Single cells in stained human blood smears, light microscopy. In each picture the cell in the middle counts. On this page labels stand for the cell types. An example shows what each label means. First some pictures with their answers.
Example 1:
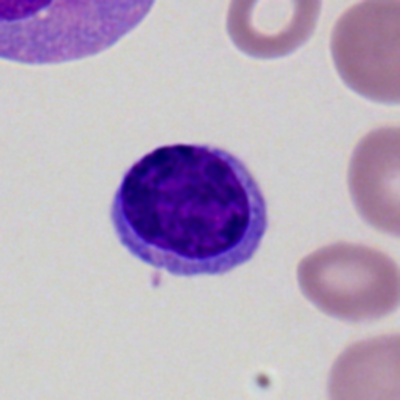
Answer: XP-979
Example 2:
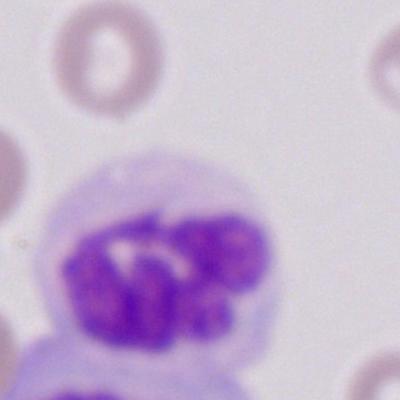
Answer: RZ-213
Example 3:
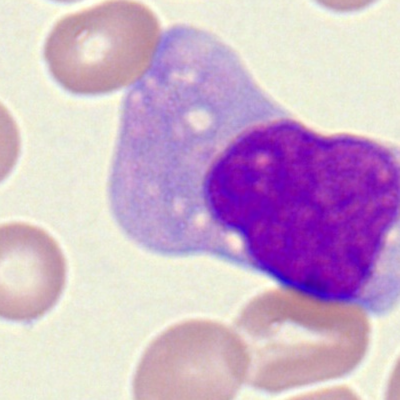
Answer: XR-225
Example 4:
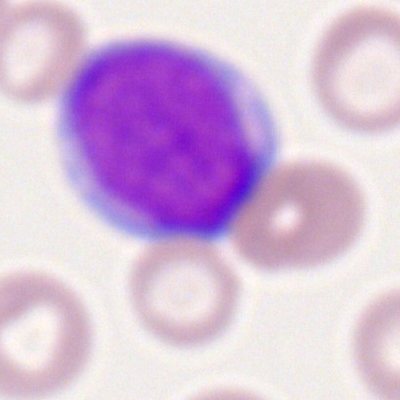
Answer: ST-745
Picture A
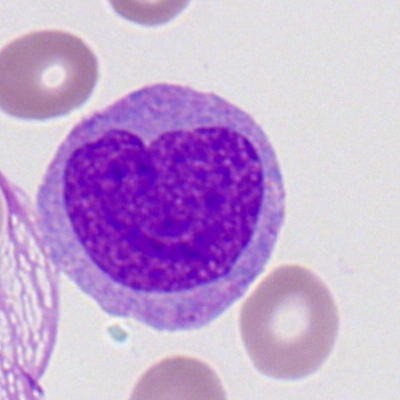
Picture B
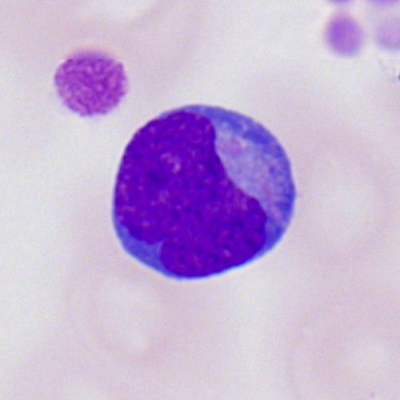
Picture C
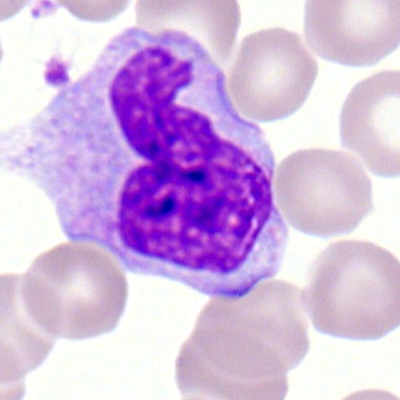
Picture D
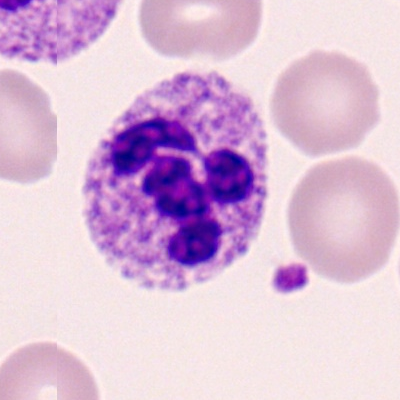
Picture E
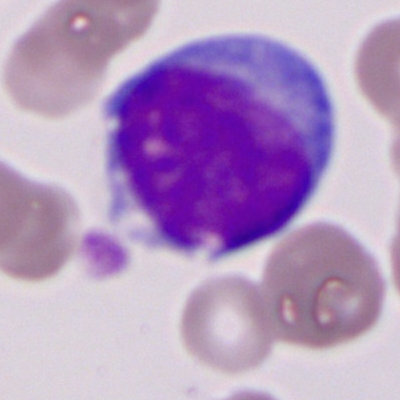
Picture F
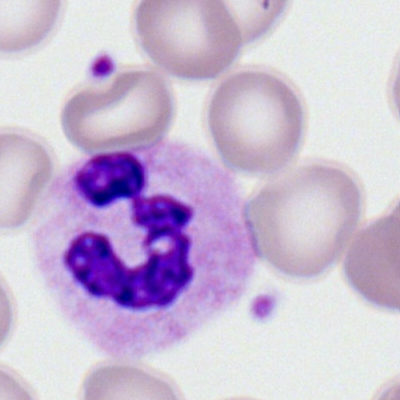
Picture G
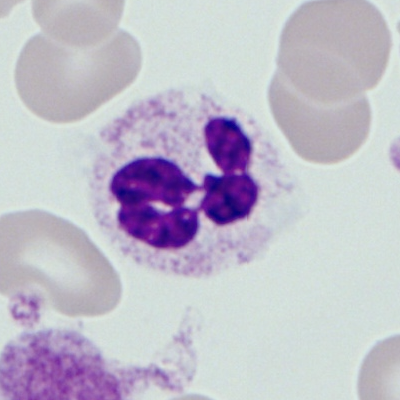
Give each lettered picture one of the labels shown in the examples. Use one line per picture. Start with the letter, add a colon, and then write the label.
A: ST-745
B: ST-745
C: XR-225
D: RZ-213
E: ST-745
F: RZ-213
G: RZ-213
